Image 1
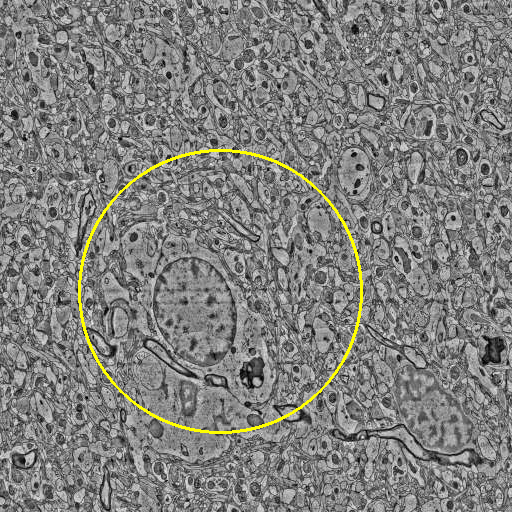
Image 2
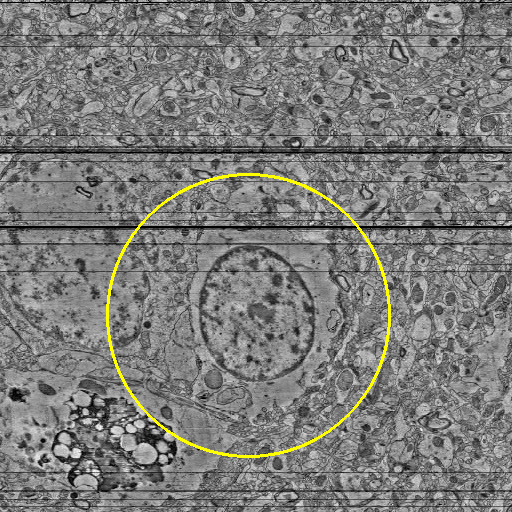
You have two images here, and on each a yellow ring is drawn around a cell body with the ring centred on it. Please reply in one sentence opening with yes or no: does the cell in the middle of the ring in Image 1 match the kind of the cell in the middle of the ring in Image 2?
Yes, the two images show cells of one kind at the centres of their rings.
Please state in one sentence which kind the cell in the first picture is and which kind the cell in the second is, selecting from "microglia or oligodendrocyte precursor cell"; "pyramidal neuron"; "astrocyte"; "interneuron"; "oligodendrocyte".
The first and the second cell are each an astrocyte.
